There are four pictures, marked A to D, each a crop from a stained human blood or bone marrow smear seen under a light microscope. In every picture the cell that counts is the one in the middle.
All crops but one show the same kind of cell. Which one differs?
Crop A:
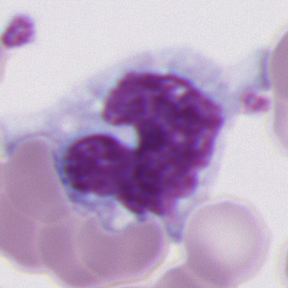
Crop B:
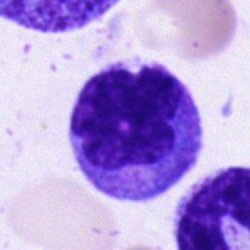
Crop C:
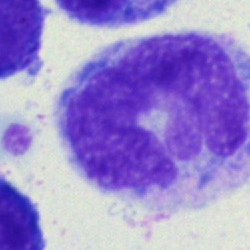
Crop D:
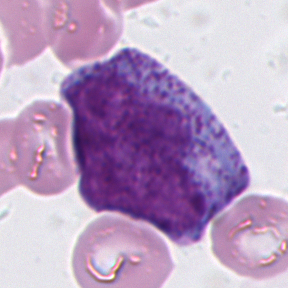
D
